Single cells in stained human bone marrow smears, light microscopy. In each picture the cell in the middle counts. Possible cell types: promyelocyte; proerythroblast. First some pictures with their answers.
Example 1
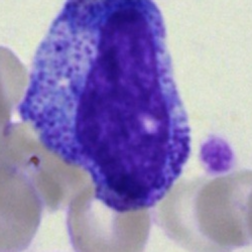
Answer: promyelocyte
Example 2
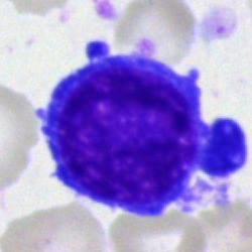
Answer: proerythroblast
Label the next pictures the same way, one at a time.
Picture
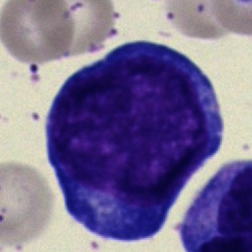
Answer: proerythroblast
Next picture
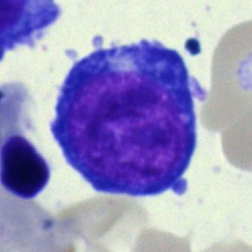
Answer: proerythroblast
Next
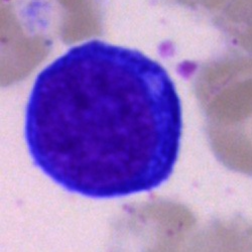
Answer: proerythroblast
